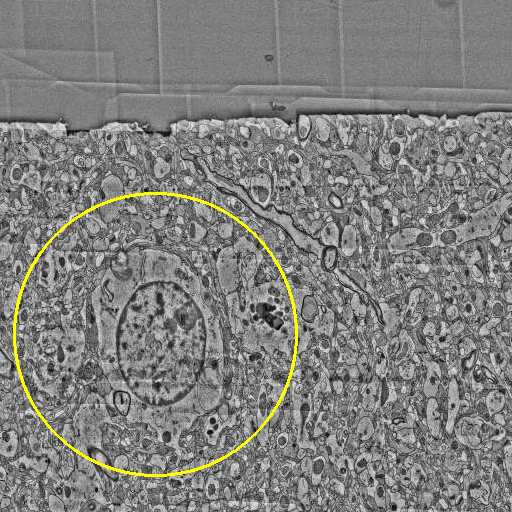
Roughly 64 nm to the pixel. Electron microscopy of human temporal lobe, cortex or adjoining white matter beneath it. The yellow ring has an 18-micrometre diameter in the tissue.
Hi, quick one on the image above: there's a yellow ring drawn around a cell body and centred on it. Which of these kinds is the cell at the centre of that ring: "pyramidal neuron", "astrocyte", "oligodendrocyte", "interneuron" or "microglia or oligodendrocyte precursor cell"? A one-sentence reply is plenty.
The cell at the centre of the ring is an astrocyte.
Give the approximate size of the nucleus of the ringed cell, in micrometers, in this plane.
About 8 by 6 micrometres in this plane.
